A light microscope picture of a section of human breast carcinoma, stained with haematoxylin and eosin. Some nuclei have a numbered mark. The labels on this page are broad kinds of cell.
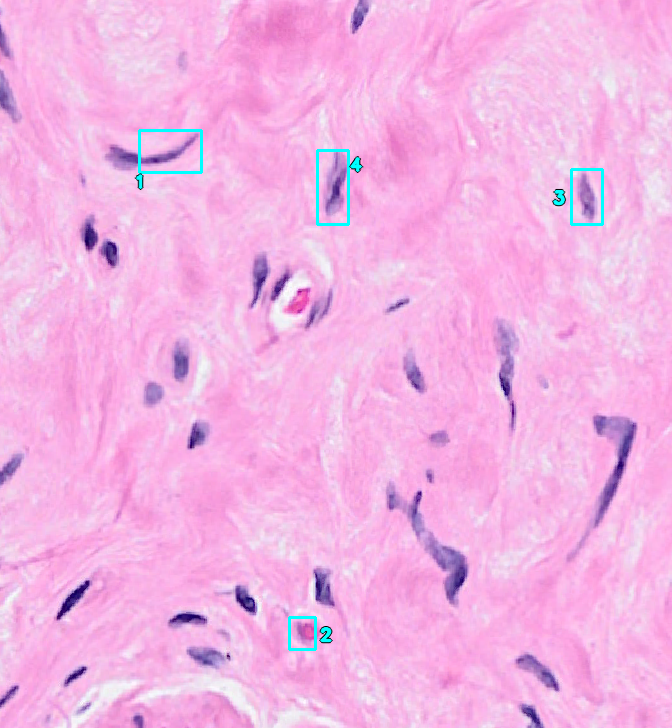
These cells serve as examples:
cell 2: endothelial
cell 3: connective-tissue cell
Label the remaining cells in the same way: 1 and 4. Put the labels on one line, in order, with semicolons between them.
connective-tissue cell; connective-tissue cell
